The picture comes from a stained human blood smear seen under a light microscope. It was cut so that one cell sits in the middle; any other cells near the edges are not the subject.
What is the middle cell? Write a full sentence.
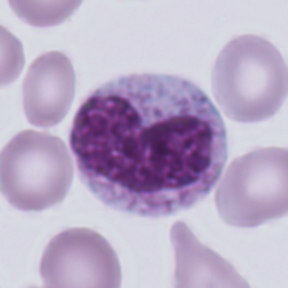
In the central position of this crop, the cell is a band neutrophil.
